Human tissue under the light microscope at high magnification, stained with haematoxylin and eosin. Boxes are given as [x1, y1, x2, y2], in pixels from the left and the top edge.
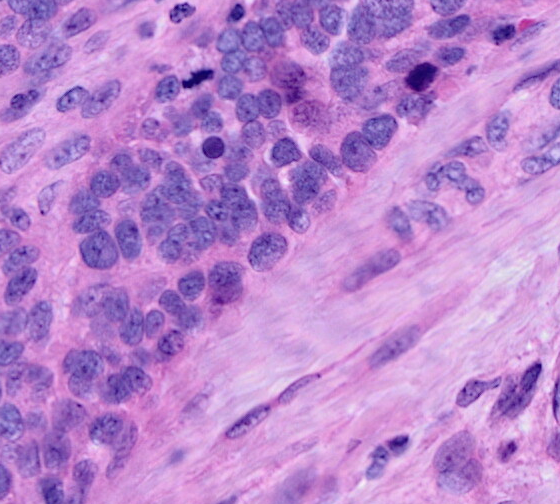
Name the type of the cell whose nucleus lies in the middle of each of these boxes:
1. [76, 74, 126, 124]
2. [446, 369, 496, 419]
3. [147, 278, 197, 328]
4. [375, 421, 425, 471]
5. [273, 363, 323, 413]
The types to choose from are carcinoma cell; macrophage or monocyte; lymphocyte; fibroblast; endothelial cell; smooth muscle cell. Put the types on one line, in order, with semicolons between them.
fibroblast; macrophage or monocyte; carcinoma cell; lymphocyte; fibroblast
